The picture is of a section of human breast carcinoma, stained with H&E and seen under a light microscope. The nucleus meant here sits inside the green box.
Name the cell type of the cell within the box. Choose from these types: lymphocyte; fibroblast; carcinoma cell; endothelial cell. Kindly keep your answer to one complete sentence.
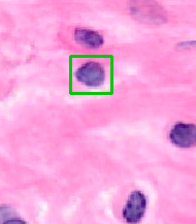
Typologically, the cell within the box is a lymphocyte in this section.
